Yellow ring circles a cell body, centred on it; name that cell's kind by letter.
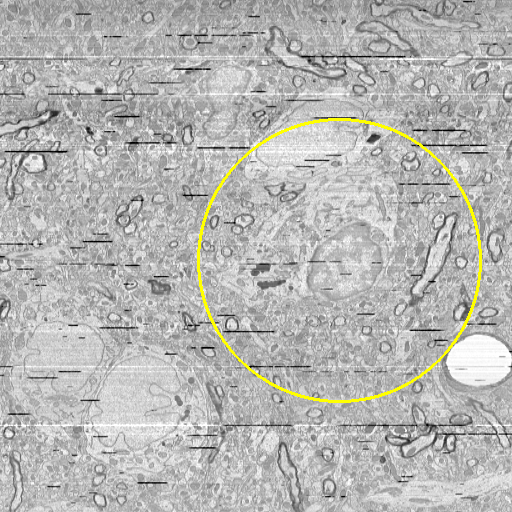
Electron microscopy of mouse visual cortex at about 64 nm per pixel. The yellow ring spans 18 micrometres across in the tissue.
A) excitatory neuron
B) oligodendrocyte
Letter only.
B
